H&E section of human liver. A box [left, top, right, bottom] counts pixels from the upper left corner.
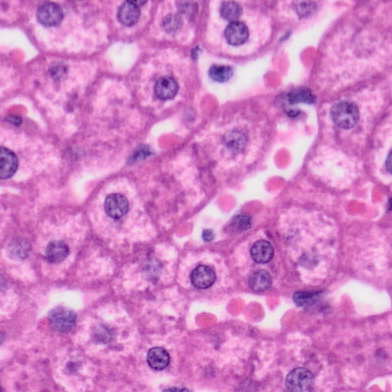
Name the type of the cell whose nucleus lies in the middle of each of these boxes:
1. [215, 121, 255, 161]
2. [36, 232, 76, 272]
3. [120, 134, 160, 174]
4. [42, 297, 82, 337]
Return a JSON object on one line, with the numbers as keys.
{"1": "hepatocyte", "2": "hepatocyte", "3": "endothelial cell", "4": "endothelial cell"}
